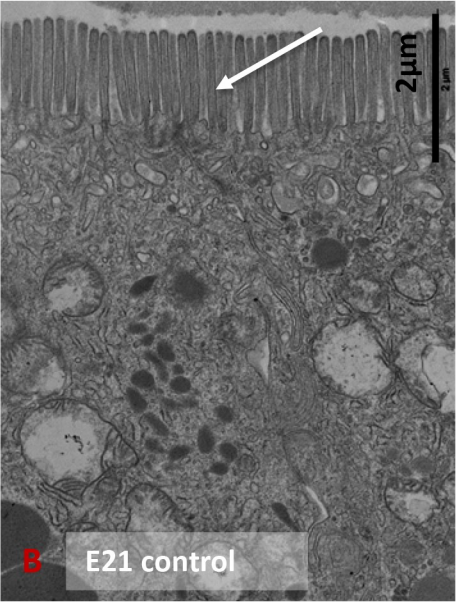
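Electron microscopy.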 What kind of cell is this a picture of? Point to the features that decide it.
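Enterocytes. Columnar epithelial cells carry a tall, regular brush border of microvilli on their apical surface. The cytoplasm below holds many mitochondria and membranous organelles.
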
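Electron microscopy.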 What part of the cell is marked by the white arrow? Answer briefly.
Microvilli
